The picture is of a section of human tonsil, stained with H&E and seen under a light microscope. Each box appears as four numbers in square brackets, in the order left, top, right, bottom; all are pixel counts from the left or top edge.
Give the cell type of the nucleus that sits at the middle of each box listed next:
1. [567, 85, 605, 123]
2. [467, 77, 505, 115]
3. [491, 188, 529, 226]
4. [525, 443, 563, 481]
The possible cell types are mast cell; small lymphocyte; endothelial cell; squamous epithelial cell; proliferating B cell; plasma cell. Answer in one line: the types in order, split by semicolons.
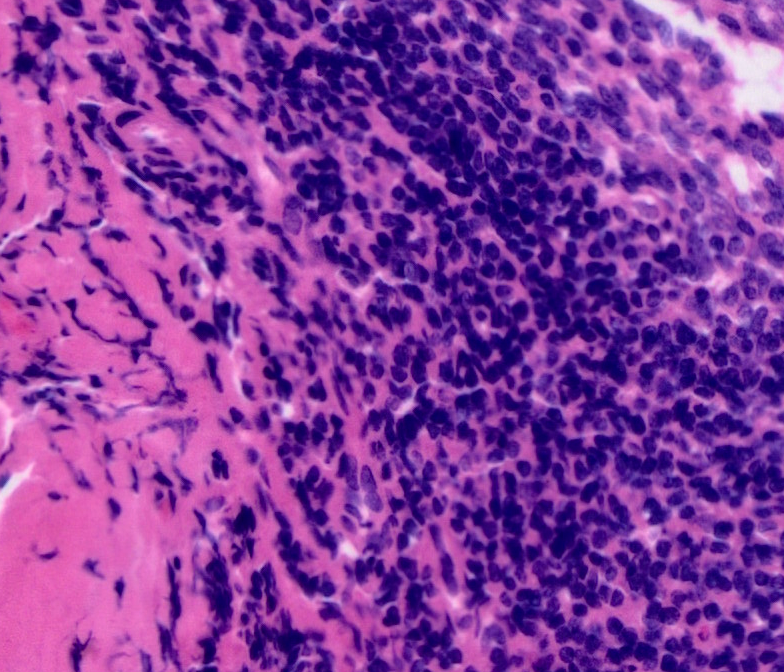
proliferating B cell; small lymphocyte; small lymphocyte; small lymphocyte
